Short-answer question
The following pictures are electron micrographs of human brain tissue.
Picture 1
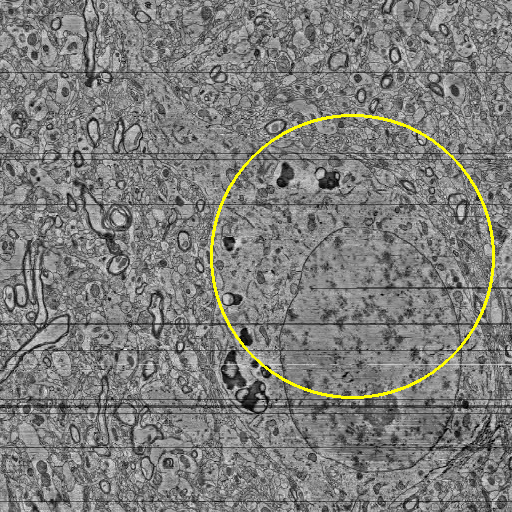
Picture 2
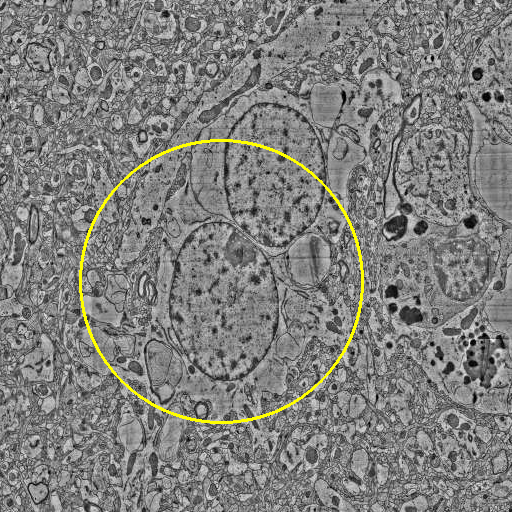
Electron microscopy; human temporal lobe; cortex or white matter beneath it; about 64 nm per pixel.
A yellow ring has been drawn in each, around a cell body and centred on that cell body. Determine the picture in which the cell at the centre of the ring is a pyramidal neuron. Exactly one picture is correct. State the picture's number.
1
